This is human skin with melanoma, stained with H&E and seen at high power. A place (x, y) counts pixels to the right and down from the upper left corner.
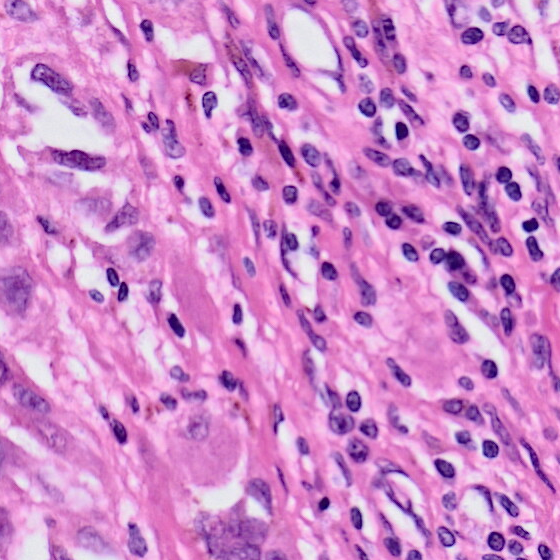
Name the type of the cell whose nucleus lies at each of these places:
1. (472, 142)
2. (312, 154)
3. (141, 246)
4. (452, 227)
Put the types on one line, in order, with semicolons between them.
lymphocyte; lymphocyte; melanoma cell; lymphocyte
